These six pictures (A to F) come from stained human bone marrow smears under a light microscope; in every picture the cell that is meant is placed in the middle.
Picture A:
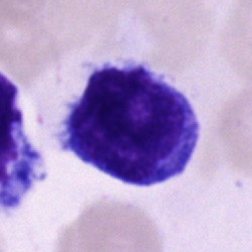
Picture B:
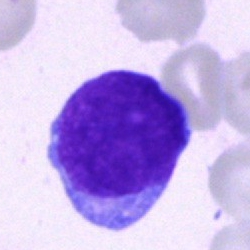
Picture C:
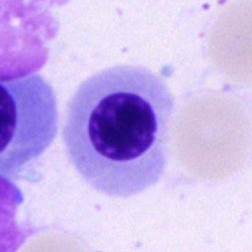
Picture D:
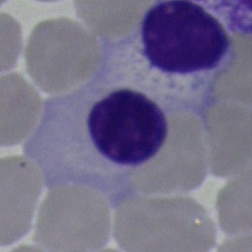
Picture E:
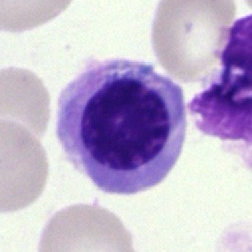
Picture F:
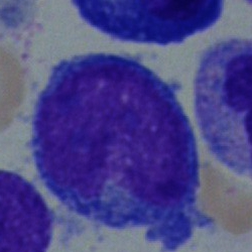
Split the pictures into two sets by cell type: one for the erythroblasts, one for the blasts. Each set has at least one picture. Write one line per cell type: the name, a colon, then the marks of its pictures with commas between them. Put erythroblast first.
erythroblast: C, D, E
blast: A, B, F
